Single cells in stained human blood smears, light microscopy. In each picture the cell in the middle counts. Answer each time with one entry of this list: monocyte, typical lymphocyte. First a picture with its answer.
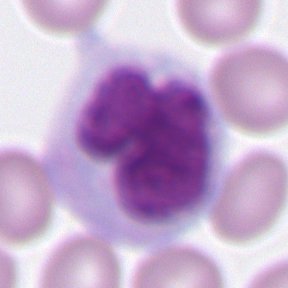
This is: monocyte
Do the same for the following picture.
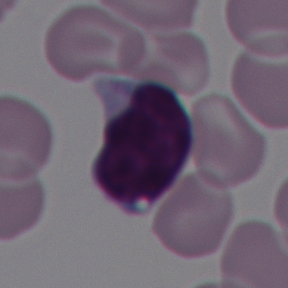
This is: typical lymphocyte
